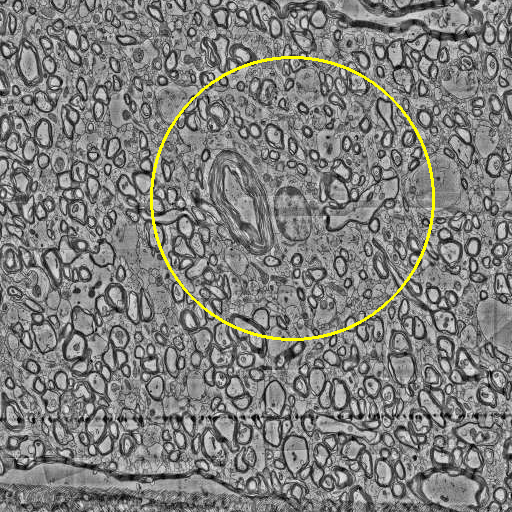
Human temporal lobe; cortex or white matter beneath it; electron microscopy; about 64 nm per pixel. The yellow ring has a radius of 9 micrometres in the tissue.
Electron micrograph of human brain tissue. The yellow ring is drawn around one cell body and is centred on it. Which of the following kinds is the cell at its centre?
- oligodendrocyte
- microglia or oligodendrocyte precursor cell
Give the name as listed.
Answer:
microglia or oligodendrocyte precursor cell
